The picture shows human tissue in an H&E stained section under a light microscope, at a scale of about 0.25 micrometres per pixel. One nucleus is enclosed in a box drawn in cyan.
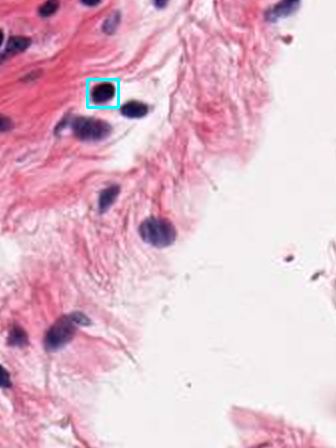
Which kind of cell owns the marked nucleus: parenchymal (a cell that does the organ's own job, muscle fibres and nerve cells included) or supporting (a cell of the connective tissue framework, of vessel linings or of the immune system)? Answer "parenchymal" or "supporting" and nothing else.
supporting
